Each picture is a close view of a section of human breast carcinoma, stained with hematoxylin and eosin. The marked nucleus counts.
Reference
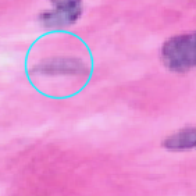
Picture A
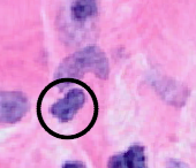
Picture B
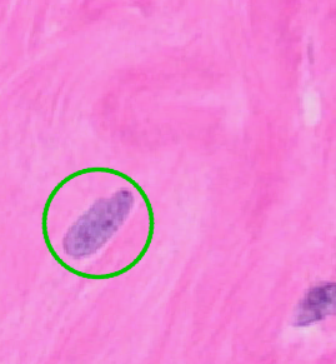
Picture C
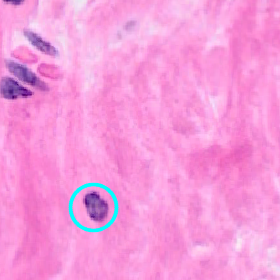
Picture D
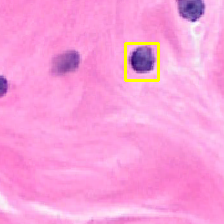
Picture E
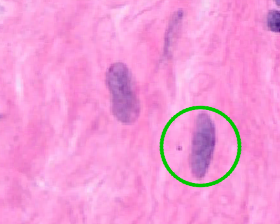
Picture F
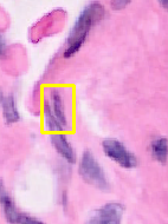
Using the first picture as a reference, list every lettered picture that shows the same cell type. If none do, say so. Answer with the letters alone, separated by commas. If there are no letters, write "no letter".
B, E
